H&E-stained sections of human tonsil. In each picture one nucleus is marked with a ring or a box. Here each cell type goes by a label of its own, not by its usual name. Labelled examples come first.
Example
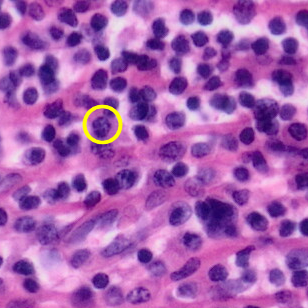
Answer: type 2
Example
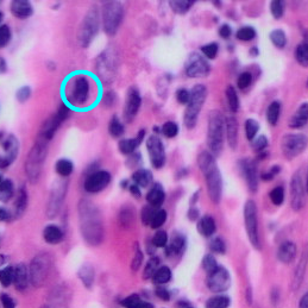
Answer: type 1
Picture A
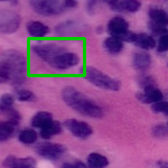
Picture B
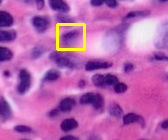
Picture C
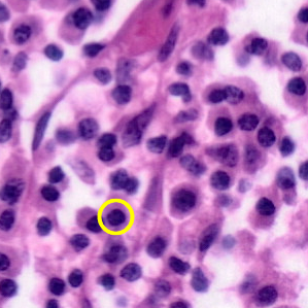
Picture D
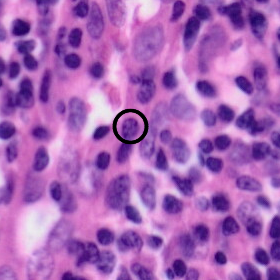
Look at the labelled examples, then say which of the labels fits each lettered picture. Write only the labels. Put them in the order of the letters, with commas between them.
type 1, type 1, type 2, type 1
